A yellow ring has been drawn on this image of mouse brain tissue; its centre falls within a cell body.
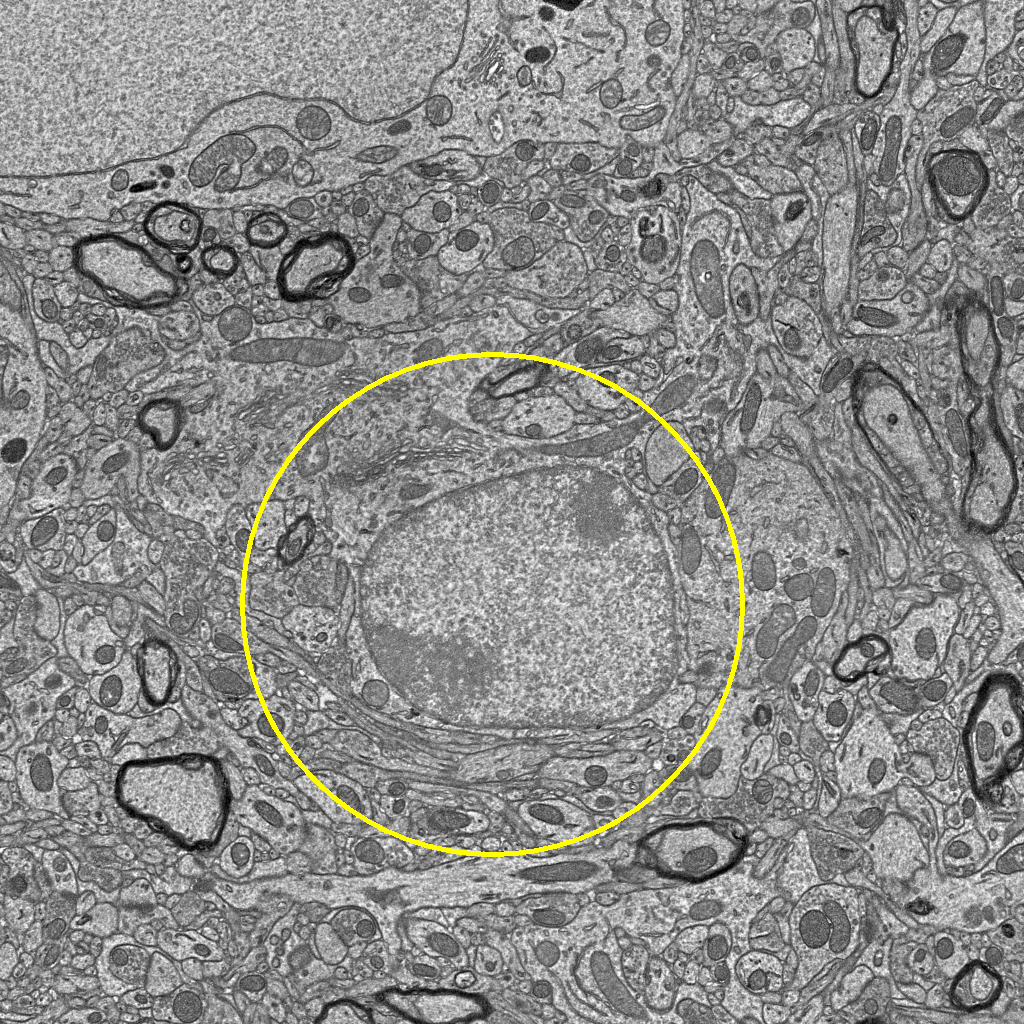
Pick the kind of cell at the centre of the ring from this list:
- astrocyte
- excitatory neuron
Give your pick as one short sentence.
The centre of the ring holds an astrocyte.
